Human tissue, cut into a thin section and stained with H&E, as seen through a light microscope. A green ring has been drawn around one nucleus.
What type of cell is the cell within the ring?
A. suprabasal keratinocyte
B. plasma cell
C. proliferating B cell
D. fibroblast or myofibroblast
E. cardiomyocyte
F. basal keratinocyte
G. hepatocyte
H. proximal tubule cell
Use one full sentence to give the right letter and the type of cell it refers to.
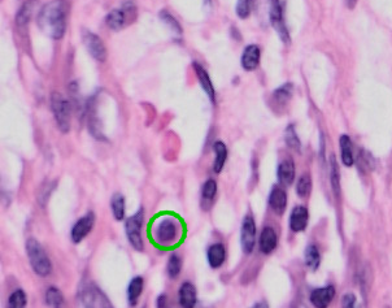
Given that the cell within the ring is a plasma cell, option B is the correct one.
